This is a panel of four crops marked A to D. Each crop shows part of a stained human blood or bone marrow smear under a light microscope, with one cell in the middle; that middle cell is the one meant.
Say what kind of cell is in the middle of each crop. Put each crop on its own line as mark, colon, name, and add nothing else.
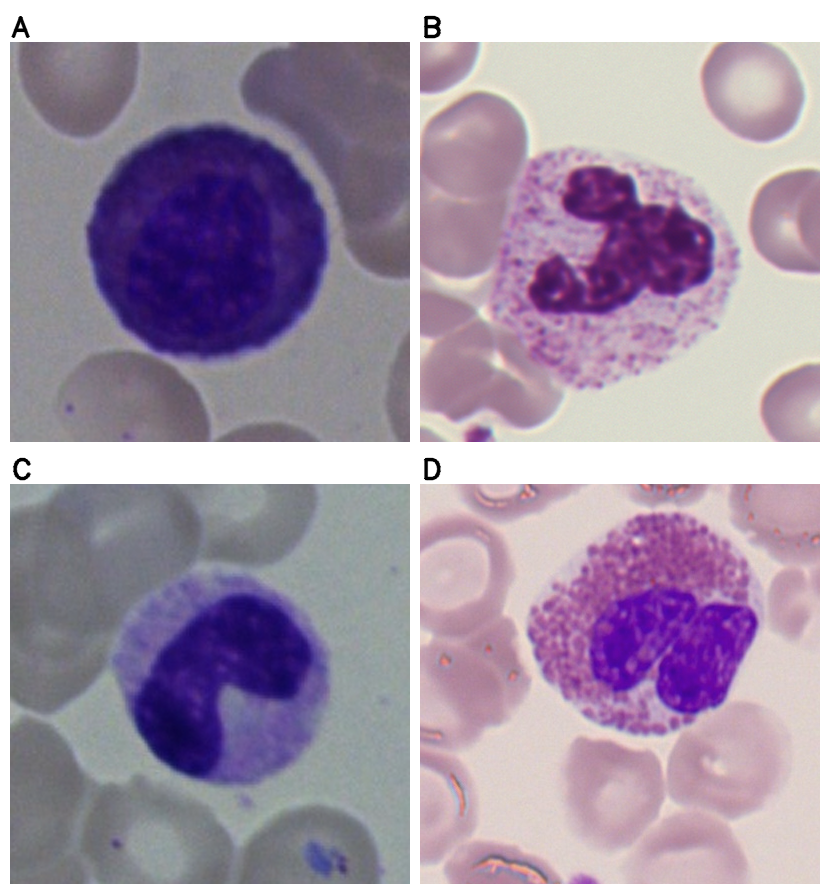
A: eosinophil
B: segmented neutrophil
C: band neutrophil
D: eosinophil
